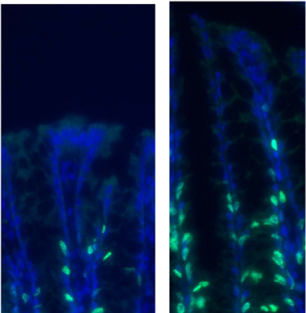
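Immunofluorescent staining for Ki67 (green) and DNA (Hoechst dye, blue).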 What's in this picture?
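Colonic mucosa with crypts cut along their length, shown in two images side by side, epithelial nuclei in blue lining elongated tubular glands. The upper parts of the crypts toward the luminal surface hold few or no green nuclei. The crypts lie parallel and closely packed, with the lumen above them dark.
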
